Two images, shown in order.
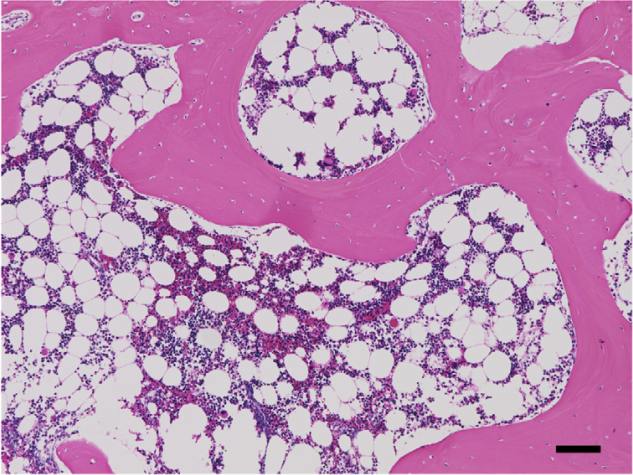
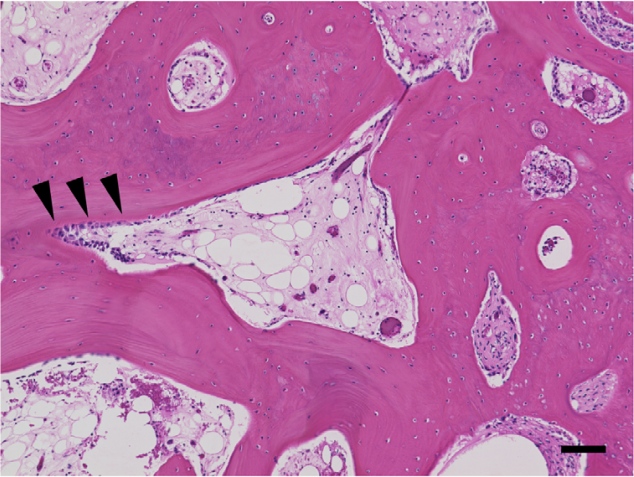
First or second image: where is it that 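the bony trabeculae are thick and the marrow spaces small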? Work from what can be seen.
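First image: large marrow spaces full of fat cells and blood cells are separated by relatively thin bands of pink bone. Second image: broad pink bone fills most of the field, with only small, scattered marrow spaces.
Hence: the second image.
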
